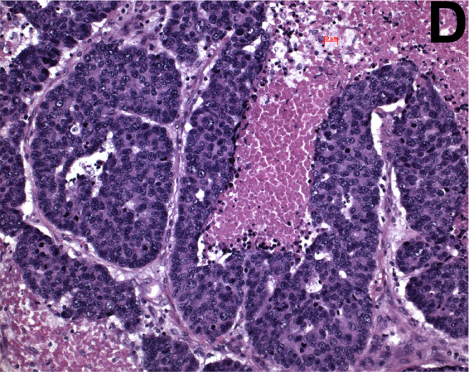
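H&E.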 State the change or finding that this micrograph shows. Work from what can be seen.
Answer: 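A pink, anucleate, granular area lies between the tumour nests. Scattered dark nuclear debris lies at the edge of the pink area. Viable nests of crowded dark cells border it. So: areas of necrosis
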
